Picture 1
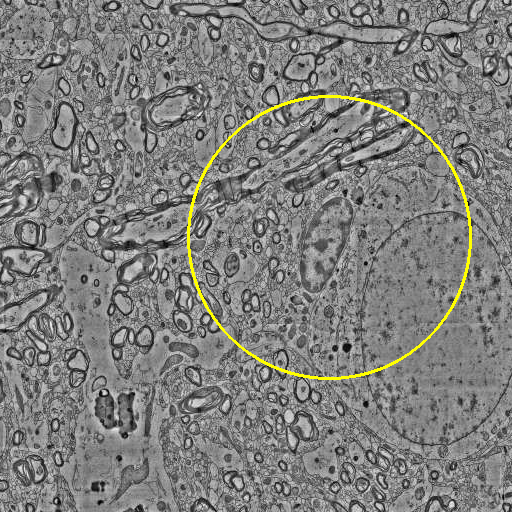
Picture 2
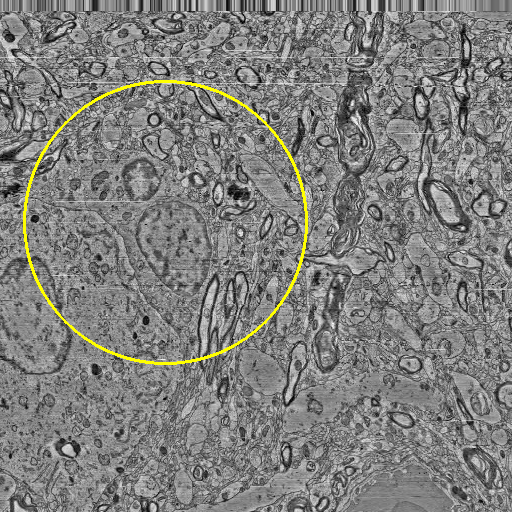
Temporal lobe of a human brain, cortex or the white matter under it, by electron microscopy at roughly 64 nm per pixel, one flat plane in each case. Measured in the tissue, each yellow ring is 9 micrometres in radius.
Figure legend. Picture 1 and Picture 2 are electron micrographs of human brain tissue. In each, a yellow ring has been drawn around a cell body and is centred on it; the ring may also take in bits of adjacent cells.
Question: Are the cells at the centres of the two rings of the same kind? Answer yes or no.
no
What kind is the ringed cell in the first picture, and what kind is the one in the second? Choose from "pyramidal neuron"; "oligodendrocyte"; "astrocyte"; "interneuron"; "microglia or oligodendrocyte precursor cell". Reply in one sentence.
The first cell is a microglial cell or oligodendrocyte precursor cell; the second is an oligodendrocyte.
